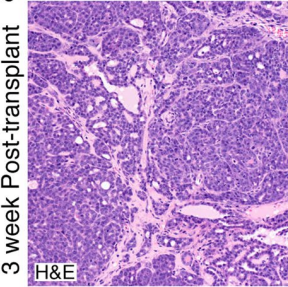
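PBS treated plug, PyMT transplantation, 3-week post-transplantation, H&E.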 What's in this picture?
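Tumour tissue made of densely packed epithelial cells forming large solid sheets and nests. Nuclei are round to oval, purple and crowded, with scant pink cytoplasm. Small gland-like spaces appear within some nests. Thin strands of pink fibrous stroma run between the nests.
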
